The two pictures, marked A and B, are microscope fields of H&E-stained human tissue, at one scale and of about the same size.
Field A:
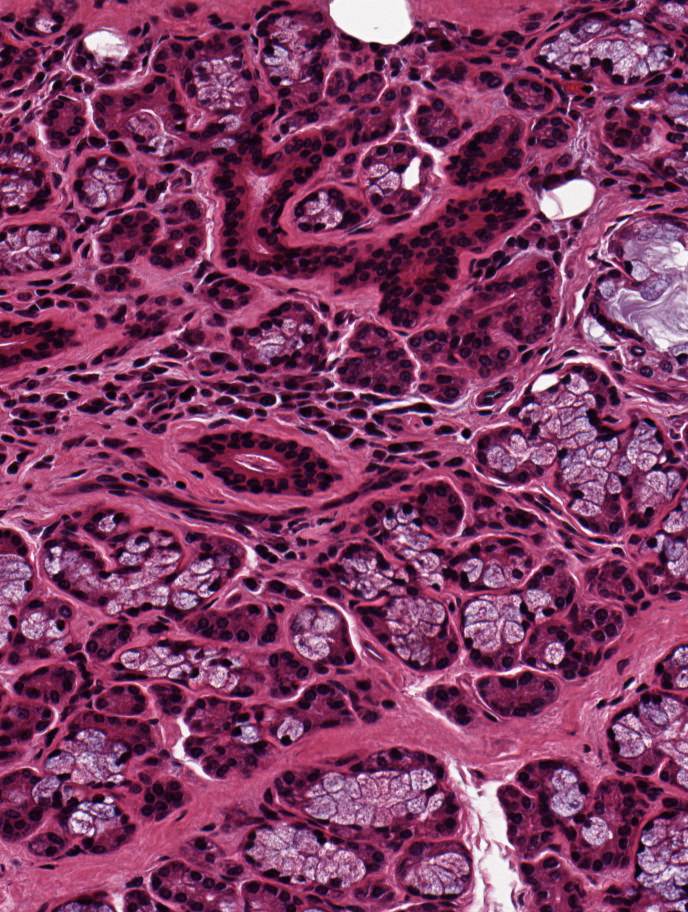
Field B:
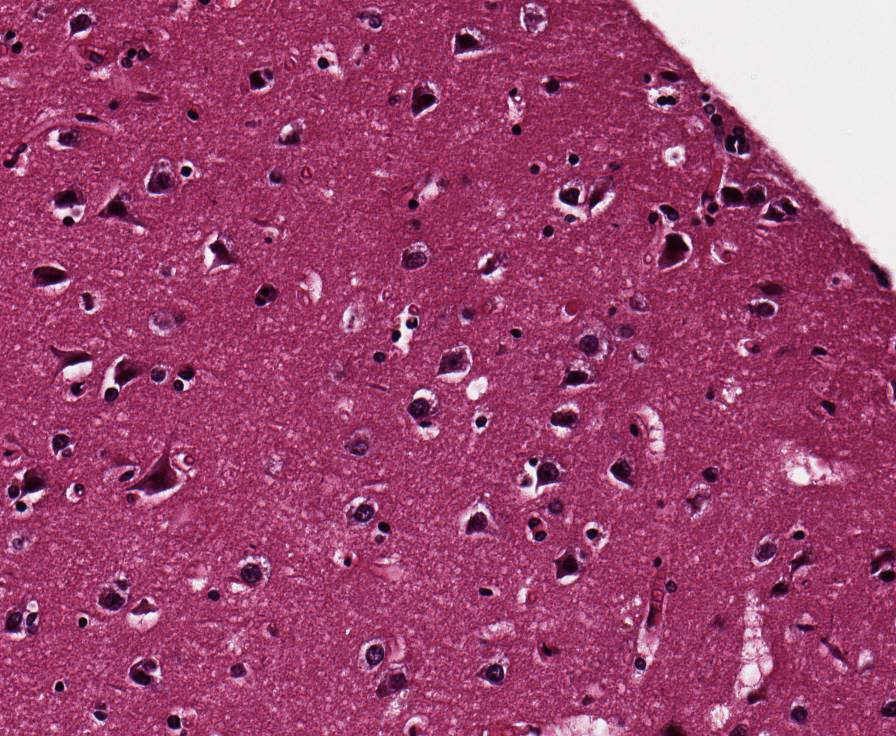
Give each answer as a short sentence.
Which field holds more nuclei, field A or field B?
Field A holds more nuclei than field B.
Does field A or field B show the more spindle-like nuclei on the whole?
It is field A whose nuclei are the more elongated.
